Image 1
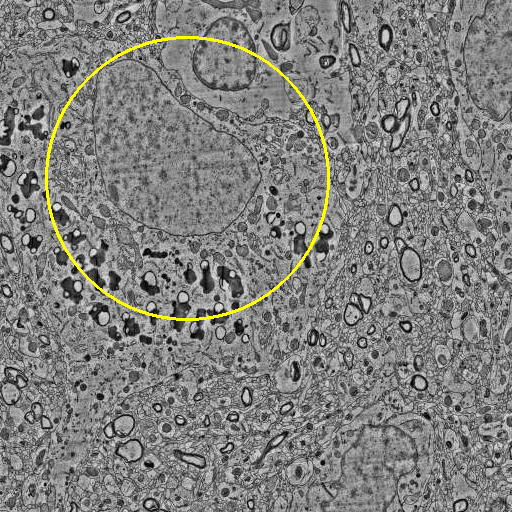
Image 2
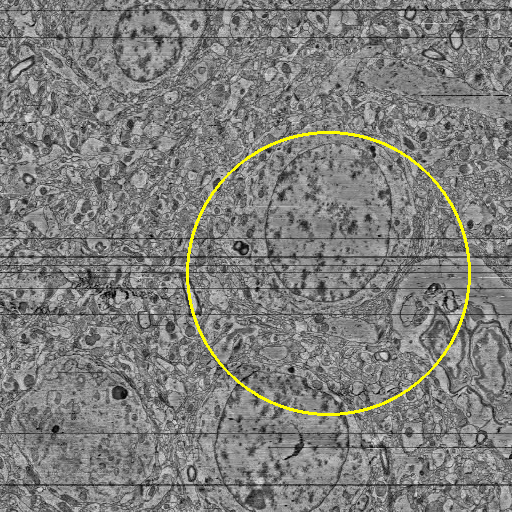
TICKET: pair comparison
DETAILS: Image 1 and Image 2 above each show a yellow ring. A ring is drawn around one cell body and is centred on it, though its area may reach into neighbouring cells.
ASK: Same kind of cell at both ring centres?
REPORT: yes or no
yes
